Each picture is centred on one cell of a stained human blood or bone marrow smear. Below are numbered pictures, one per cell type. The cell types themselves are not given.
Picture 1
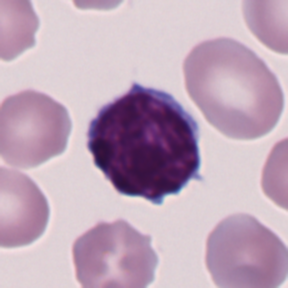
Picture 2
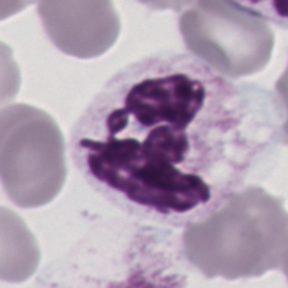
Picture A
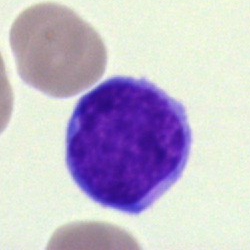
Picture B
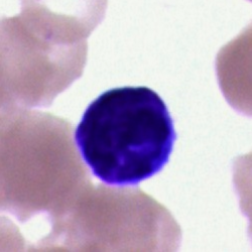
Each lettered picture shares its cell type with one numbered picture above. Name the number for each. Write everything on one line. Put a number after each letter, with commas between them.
A 1, B 1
